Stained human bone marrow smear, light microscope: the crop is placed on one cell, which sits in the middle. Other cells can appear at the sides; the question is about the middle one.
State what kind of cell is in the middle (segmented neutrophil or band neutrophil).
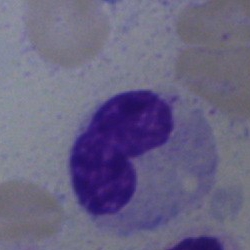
band neutrophil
